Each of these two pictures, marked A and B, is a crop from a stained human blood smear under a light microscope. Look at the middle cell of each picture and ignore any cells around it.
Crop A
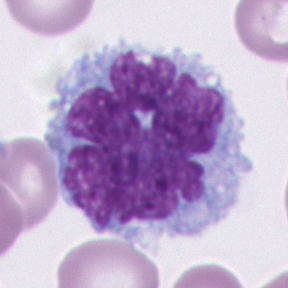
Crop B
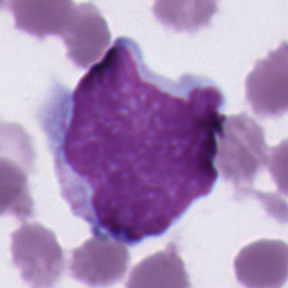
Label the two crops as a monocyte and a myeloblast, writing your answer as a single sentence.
Identified in crop A is a monocyte, with a myeloblast identified in crop B.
